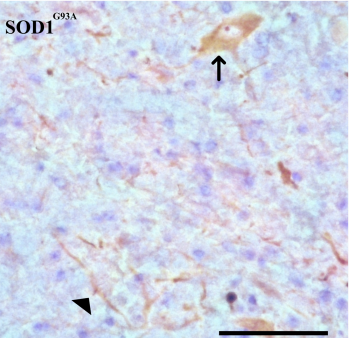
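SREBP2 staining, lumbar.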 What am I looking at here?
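This is spinal cord grey matter of the ventral horn with a large, angular motor neuron whose cytoplasm is stained brown around a paler nucleus. Thin, long brown processes run through the surrounding tissue among many small blue nuclei of other cells.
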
